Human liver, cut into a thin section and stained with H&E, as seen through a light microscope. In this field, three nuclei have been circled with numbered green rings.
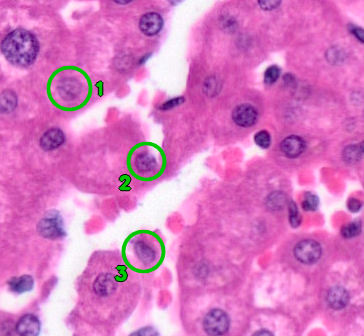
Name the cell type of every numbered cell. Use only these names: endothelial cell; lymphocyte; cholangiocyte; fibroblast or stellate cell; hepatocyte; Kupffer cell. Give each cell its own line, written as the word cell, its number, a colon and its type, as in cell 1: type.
cell 1: hepatocyte
cell 2: hepatocyte
cell 3: Kupffer cell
